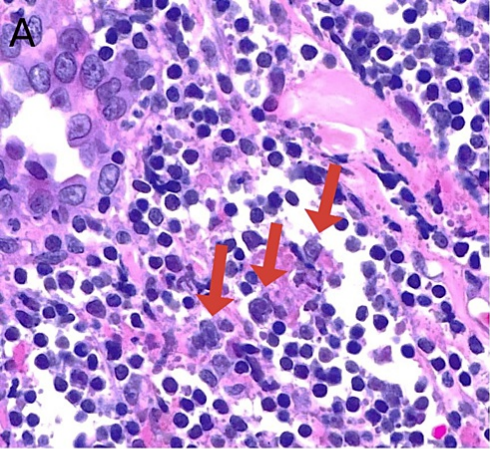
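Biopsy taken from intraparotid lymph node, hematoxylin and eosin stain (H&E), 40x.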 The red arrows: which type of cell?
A: Large binucleated atypical cells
